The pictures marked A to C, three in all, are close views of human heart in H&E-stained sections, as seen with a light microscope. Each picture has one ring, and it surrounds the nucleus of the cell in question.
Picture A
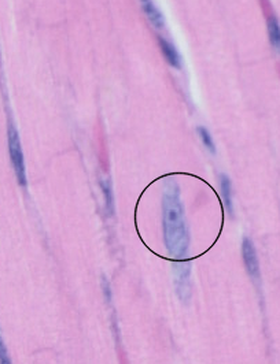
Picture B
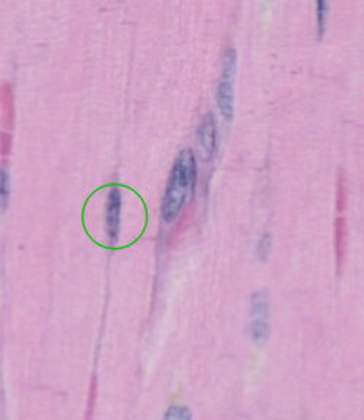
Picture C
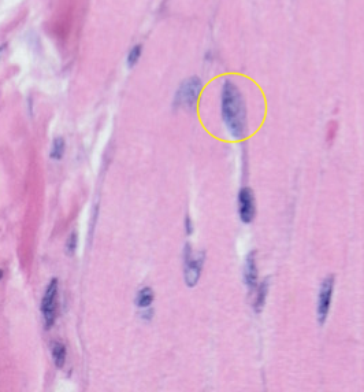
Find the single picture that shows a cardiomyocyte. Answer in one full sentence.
The picture with the cardiomyocyte is A.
